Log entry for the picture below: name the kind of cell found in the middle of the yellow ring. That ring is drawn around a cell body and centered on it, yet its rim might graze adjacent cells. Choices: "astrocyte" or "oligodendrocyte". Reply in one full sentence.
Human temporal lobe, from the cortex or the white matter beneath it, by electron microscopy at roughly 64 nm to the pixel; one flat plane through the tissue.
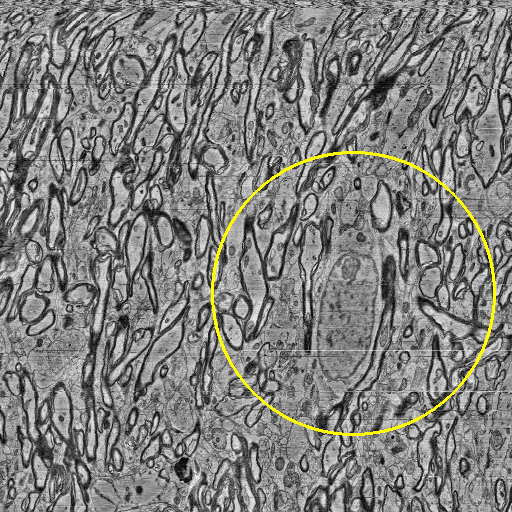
The cell in the middle of the yellow ring in this picture is an astrocyte.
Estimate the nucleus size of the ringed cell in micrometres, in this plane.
The nucleus comes to approximately 9 by 4 micrometres and is clearly longer than it is wide in this plane.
